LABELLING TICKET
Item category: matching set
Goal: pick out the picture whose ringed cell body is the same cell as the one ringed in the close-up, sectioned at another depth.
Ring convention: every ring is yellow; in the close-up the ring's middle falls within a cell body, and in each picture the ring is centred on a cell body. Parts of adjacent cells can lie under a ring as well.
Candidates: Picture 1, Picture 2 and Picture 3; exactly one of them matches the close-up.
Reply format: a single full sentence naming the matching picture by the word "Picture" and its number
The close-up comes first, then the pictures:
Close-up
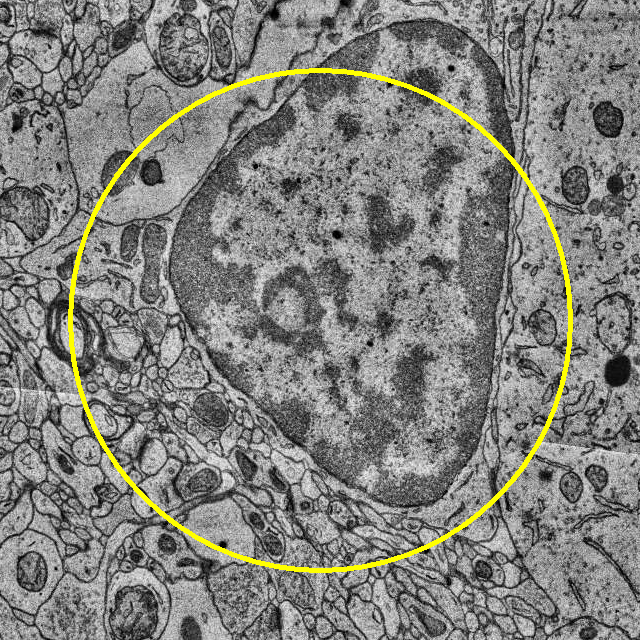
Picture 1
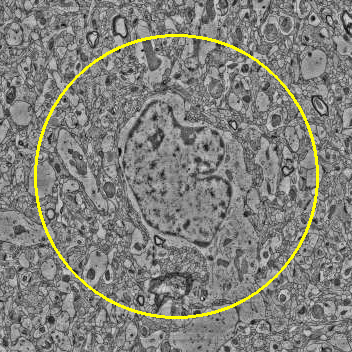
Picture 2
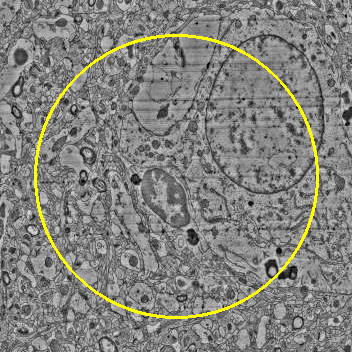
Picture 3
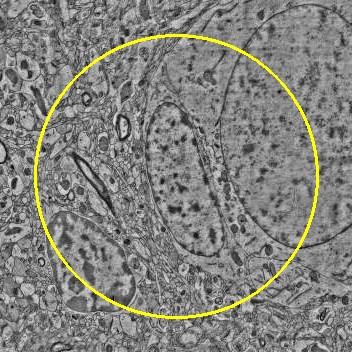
The cell pictured in the close-up is ringed in Picture 2.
